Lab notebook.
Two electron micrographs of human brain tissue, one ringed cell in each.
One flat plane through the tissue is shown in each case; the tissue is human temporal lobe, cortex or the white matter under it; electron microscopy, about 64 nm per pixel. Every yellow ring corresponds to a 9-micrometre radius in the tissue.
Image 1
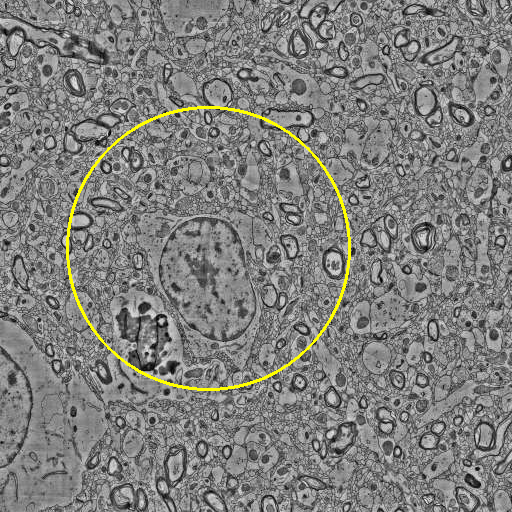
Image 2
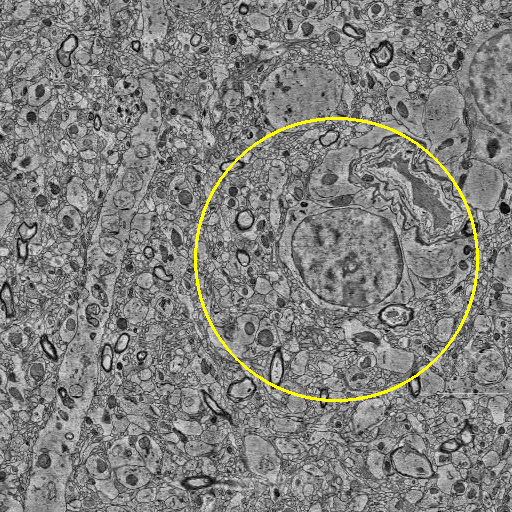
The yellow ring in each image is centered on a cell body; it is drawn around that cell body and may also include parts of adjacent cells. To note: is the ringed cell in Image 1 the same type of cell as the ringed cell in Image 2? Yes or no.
yes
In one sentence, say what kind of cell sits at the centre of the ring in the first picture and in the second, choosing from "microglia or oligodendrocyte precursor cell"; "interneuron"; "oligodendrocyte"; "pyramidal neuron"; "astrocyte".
Each of the two rings is centred on a microglial cell or oligodendrocyte precursor cell.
